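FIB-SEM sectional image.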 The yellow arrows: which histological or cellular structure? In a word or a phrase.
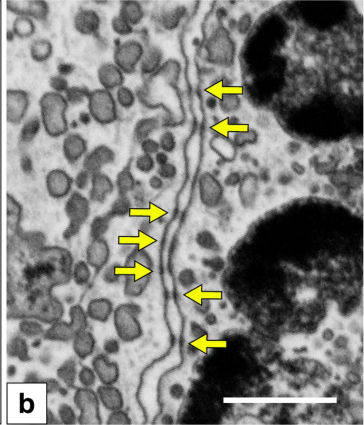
Spotty intercellular junctions.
